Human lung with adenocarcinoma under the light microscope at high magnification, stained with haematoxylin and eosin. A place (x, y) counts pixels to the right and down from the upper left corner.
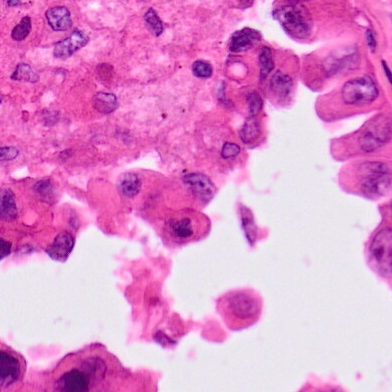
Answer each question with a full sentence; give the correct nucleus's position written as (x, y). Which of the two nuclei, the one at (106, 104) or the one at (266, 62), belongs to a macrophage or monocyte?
The cell to which the nucleus at (106, 104) belongs is a macrophage or monocyte.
